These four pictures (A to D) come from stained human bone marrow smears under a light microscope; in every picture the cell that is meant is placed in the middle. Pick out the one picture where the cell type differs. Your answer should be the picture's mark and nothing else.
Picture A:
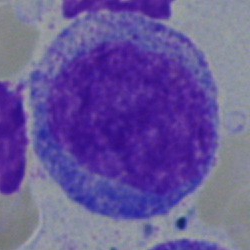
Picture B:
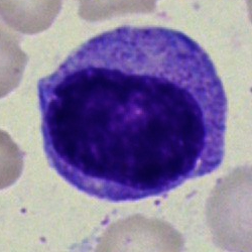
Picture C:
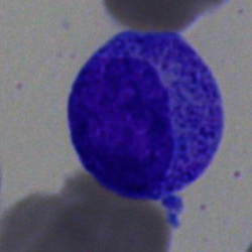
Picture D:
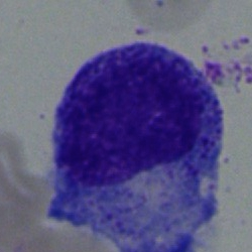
B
